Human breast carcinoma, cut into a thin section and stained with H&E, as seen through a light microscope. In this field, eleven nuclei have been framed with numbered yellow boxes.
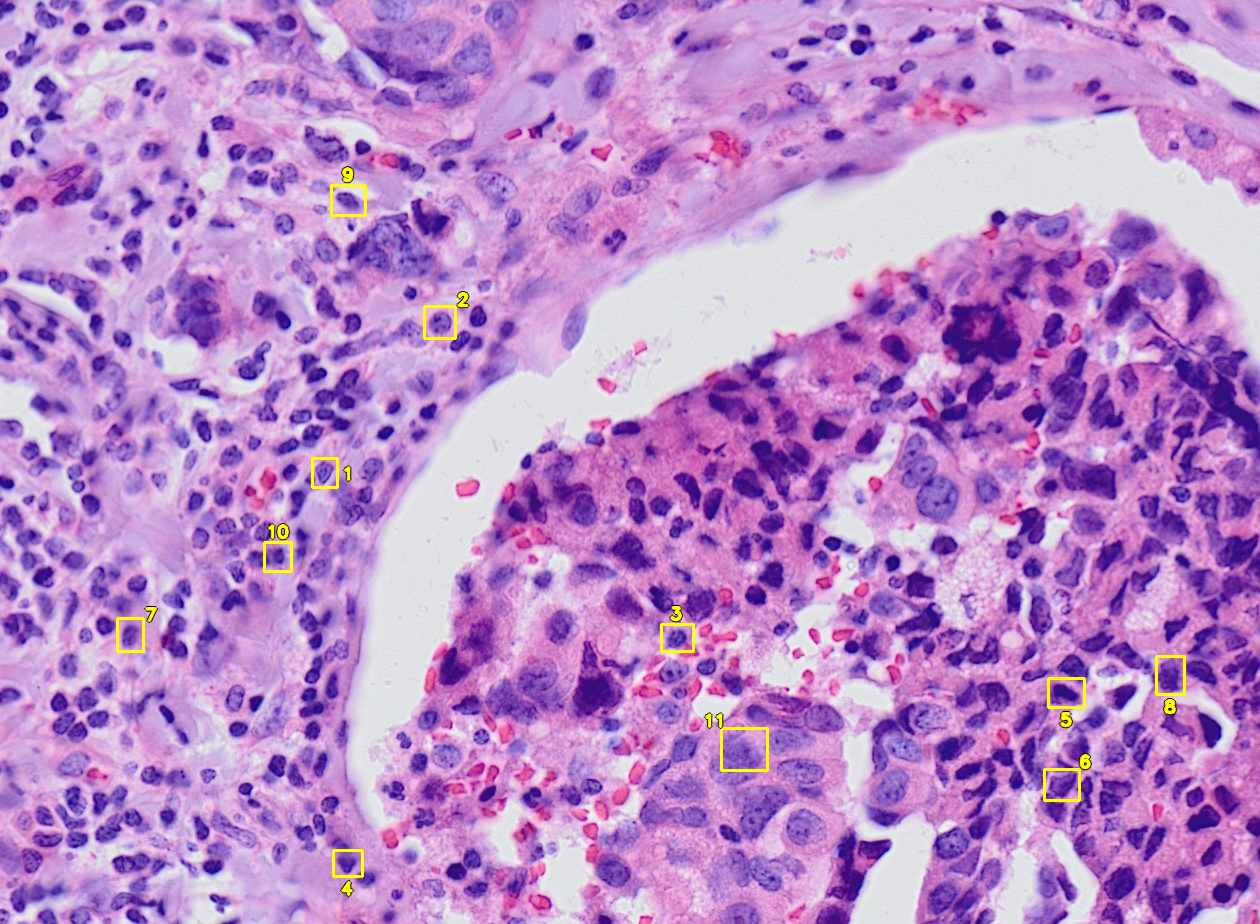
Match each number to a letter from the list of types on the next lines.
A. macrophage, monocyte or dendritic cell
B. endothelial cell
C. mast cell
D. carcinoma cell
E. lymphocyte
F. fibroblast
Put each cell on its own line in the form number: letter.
1: E
2: C
3: E
4: E
5: D
6: D
7: E
8: D
9: E
10: E
11: D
